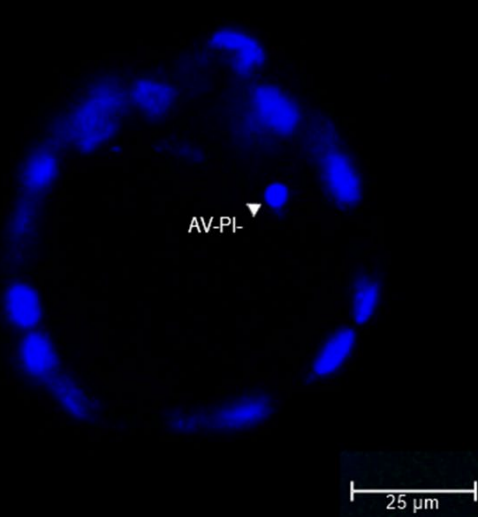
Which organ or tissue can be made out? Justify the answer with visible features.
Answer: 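The whole structure is a hollow sphere of cells. The answer: blastocysts.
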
